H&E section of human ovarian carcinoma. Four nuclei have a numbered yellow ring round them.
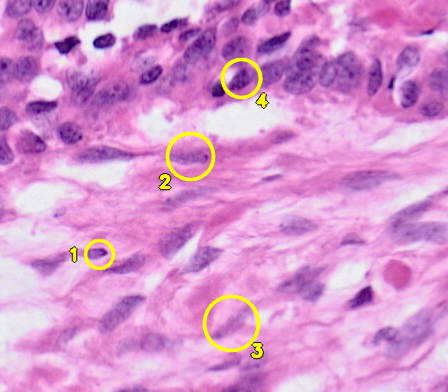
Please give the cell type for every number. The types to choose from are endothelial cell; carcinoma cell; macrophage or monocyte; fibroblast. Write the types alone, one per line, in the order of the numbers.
fibroblast
fibroblast
fibroblast
carcinoma cell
